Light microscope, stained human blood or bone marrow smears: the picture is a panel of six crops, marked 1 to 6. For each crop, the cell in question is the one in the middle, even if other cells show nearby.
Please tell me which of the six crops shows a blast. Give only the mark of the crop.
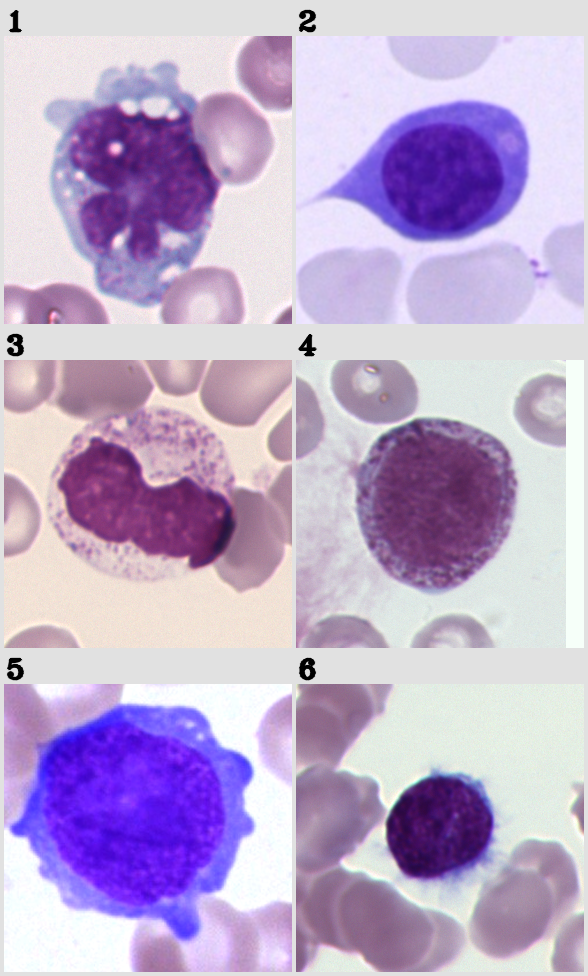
5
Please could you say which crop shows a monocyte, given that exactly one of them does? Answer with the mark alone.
1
